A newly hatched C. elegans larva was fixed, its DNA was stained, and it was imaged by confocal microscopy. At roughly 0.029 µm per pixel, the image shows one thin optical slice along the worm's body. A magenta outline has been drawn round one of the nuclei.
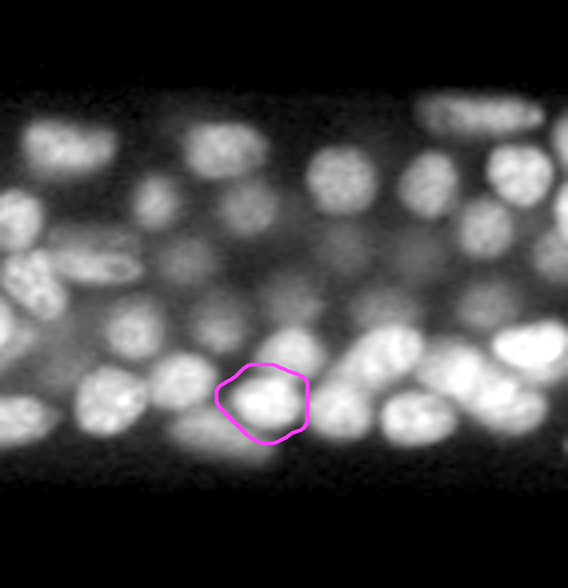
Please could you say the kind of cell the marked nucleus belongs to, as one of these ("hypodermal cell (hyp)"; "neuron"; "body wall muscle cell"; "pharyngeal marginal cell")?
neuron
